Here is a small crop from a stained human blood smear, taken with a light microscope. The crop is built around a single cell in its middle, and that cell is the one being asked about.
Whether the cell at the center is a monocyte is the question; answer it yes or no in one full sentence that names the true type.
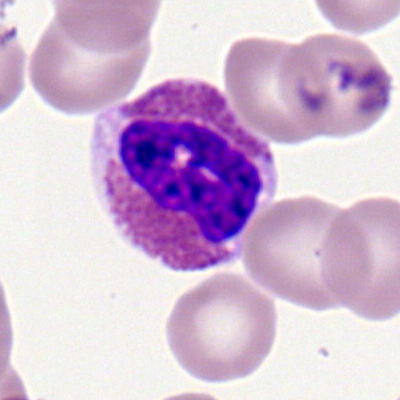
No, the central cell is an eosinophil, not a monocyte.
